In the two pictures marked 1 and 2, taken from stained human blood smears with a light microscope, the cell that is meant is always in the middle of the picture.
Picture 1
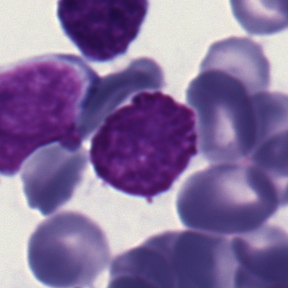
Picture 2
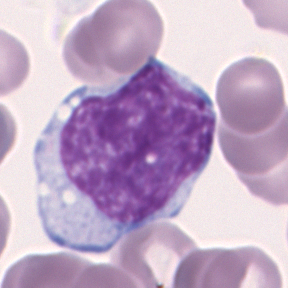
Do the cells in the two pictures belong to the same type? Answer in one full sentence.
Yes, both cells are myeloblasts.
